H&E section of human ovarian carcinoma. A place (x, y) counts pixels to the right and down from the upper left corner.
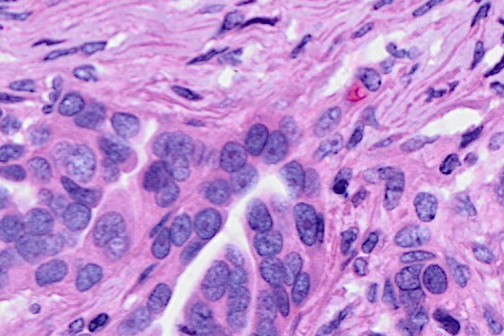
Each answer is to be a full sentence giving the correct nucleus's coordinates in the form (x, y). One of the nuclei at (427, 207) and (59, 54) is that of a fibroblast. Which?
Of the two nuclei, the one at (59, 54) belongs to a fibroblast.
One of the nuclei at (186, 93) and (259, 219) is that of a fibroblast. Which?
The nucleus located at (186, 93) is the one held within a fibroblast.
